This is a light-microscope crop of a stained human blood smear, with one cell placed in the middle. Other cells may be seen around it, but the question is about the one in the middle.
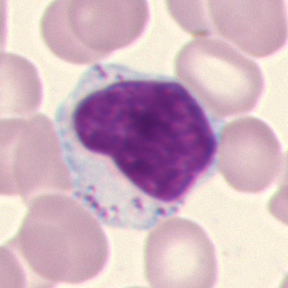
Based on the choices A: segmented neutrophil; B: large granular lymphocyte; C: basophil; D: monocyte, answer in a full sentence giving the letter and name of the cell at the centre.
The middle of the crop holds a large granular lymphocyte, which points to option B.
